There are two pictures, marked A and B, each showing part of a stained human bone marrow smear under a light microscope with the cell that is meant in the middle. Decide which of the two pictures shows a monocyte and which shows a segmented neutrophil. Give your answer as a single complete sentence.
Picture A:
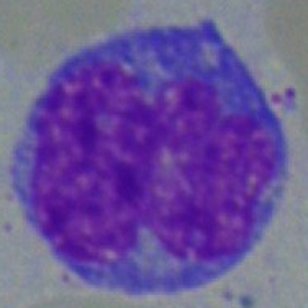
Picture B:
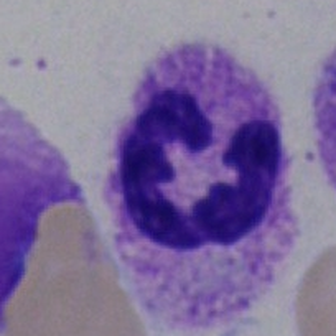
Picture B shows a segmented neutrophil, while picture A shows a monocyte.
